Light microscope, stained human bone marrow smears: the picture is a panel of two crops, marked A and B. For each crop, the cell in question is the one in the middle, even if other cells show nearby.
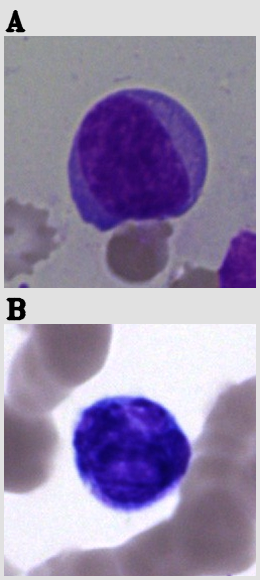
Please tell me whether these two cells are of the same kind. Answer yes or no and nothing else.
no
